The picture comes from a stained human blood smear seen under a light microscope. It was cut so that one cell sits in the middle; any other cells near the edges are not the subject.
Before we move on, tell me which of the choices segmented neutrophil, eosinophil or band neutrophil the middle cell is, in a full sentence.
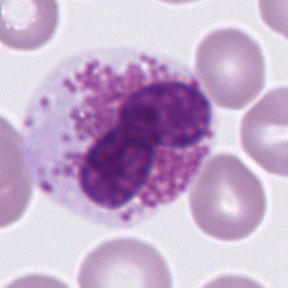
By classification, the middle cell of this crop is an eosinophil.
